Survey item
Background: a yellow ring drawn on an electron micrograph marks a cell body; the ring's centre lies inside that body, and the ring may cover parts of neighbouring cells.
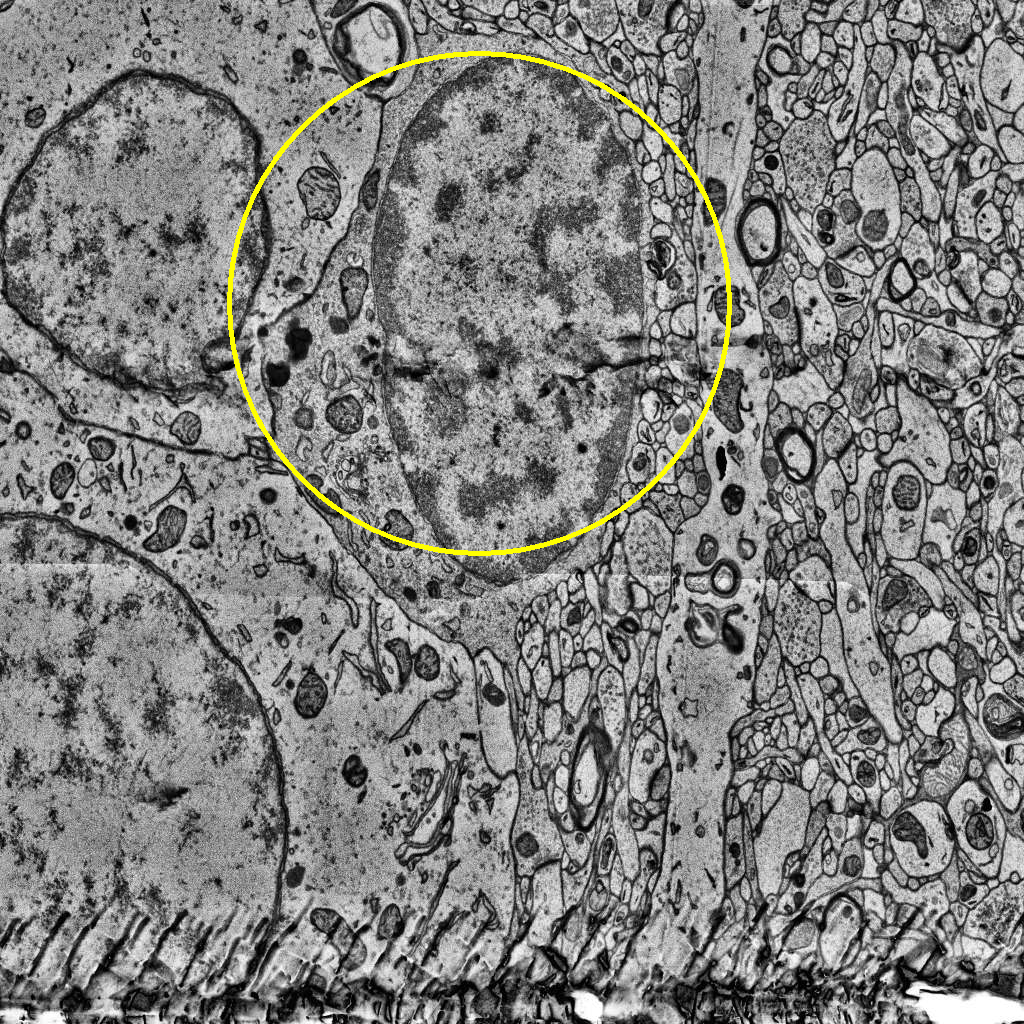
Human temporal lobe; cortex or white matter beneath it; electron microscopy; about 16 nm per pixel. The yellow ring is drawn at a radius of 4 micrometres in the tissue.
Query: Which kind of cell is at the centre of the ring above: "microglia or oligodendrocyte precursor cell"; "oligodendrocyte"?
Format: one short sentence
The cell in the middle of the ring is an oligodendrocyte.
